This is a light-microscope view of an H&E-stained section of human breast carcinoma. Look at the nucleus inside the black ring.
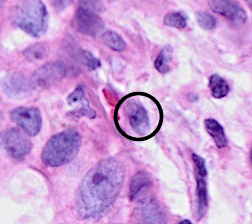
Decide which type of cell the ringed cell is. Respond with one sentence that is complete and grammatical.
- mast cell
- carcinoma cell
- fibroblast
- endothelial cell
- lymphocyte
In the tissue at hand, the ringed cell is an endothelial cell.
